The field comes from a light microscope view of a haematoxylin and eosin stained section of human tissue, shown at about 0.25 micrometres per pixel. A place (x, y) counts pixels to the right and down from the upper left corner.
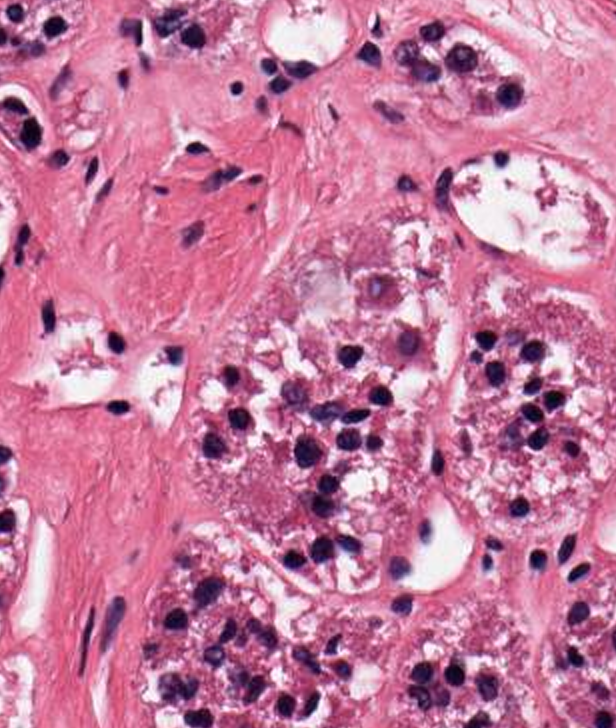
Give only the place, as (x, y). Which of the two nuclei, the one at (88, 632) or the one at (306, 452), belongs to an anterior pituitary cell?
(306, 452)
